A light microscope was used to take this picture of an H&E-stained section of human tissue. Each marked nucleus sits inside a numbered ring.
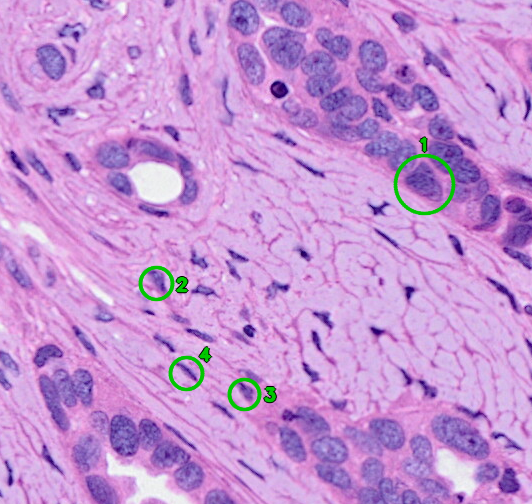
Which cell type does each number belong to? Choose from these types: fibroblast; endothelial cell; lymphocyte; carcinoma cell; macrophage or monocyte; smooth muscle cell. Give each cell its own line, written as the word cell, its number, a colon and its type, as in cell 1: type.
cell 1: carcinoma cell
cell 2: fibroblast
cell 3: fibroblast
cell 4: fibroblast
